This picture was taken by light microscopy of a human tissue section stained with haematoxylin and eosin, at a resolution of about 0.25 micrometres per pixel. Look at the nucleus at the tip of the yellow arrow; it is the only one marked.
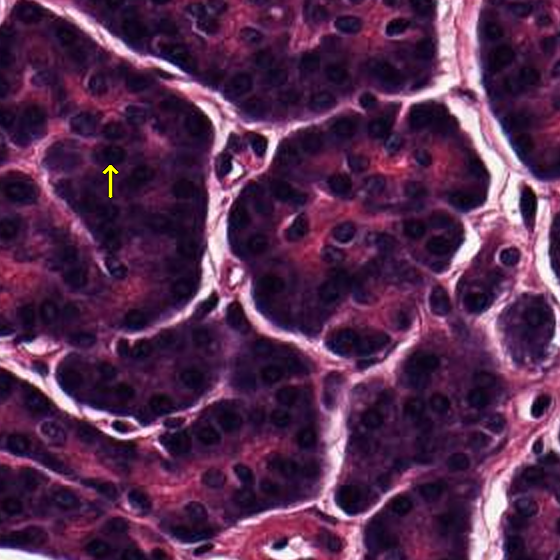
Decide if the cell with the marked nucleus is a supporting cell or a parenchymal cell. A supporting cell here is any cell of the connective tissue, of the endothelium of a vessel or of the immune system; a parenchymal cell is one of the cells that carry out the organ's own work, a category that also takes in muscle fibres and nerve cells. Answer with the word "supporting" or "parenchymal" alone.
parenchymal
